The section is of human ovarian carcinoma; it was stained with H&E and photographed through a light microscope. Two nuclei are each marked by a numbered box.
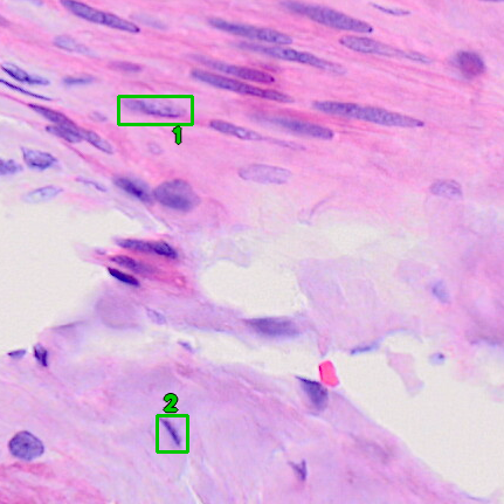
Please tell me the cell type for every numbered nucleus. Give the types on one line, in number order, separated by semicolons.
smooth muscle cell; fibroblast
